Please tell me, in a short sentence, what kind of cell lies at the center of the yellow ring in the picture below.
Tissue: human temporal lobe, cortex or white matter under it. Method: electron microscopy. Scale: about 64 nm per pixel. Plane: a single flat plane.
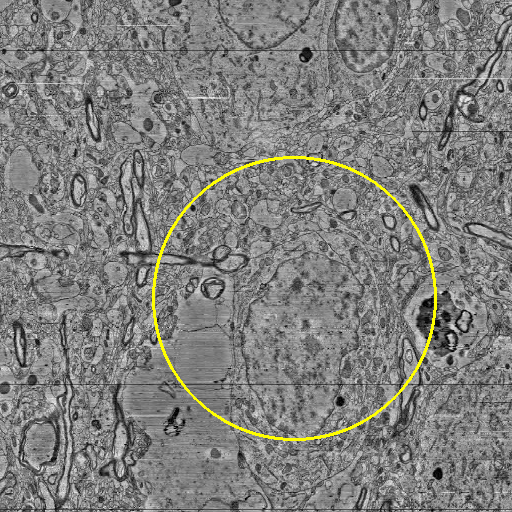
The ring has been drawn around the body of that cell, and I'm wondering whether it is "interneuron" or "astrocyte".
The cell at the center of the ring is an interneuron.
